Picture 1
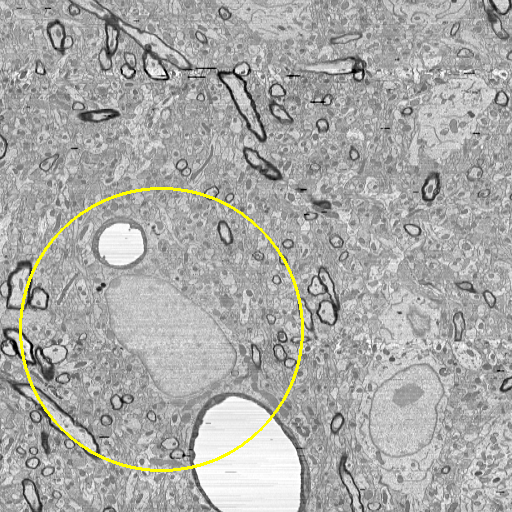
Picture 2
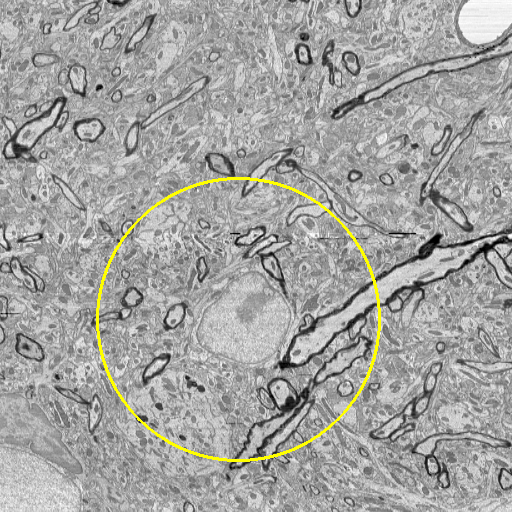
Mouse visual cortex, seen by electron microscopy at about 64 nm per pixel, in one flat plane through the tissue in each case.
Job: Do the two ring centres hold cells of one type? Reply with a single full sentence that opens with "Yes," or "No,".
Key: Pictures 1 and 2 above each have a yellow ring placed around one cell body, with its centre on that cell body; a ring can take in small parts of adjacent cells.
Yes, the cells at the two ring centres are of one single type.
